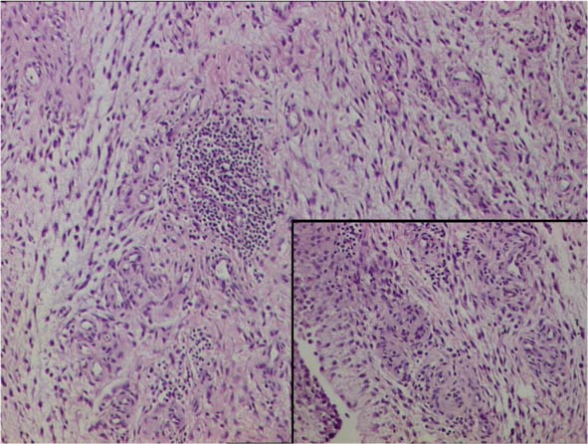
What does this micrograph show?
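In the upper middle of the field, a dense collection of small, round, darkly stained nuclei stands out against the paler stroma; this is an inflammatory infiltrate of mixed cells. Scattered through the tissue are many small vessels, seen as round open lumens surrounded by plump cells in little whorled clusters, some with a few inflammatory cells nearby. The inset at lower right shows the same pattern of vessels and scattered inflammatory cells at a similar magnification.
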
